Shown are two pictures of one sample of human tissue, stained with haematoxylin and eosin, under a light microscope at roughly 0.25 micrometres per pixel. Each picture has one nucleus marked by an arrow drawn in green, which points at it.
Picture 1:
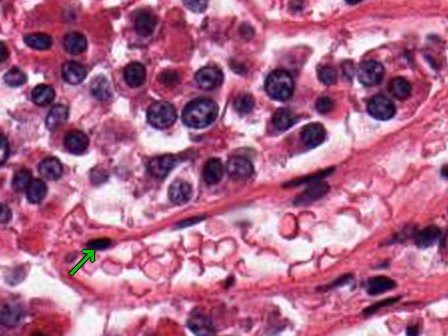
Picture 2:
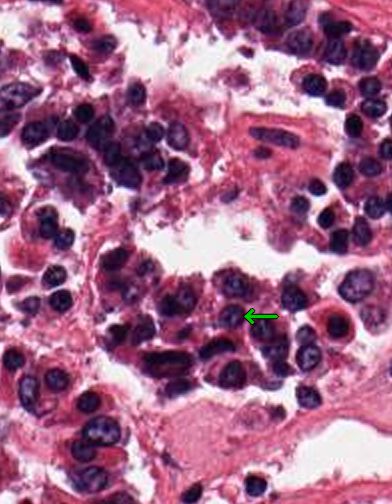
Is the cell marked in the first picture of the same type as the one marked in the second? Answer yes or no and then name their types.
No, the first is an endothelial cell and the second an anterior pituitary cell.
